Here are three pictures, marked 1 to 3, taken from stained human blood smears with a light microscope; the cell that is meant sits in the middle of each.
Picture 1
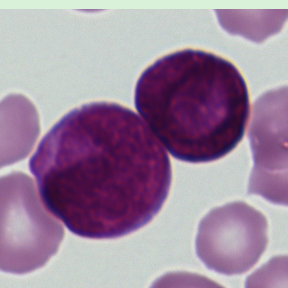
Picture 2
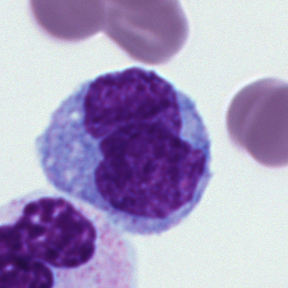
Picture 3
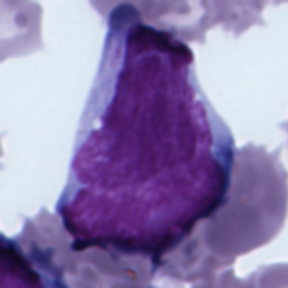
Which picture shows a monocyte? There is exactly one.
2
